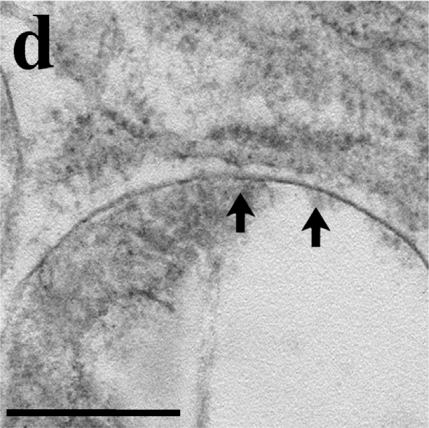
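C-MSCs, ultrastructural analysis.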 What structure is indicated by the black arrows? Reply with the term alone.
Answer: Extensive contact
